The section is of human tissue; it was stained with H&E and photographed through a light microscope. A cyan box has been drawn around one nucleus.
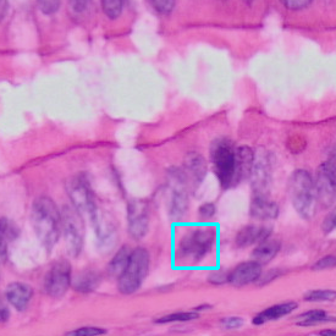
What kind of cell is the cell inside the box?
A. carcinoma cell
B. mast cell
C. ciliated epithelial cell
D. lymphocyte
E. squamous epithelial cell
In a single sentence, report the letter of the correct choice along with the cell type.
Here the right answer is C, with the cell inside the box being a ciliated epithelial cell.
